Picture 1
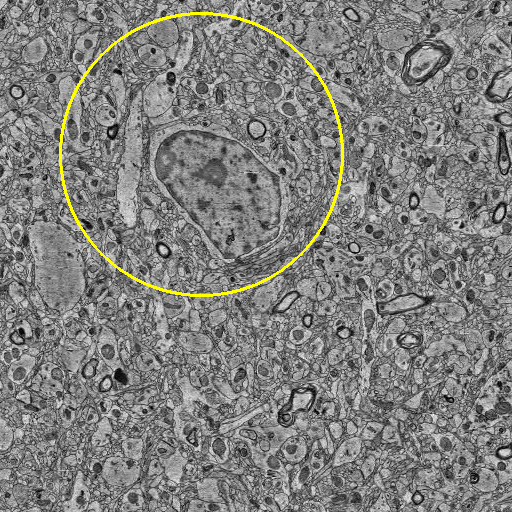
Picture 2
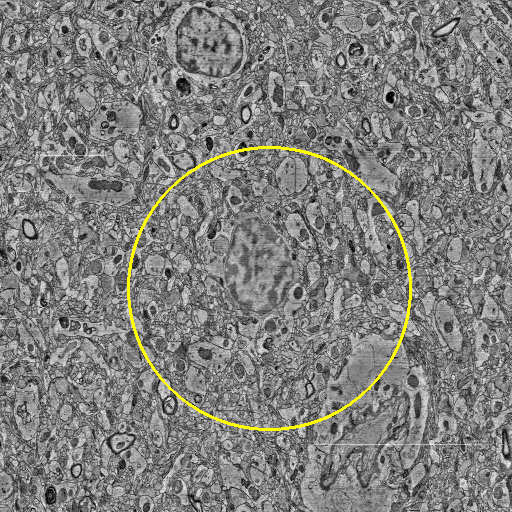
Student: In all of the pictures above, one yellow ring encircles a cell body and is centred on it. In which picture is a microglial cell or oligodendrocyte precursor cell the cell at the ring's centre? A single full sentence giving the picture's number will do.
Picture number 1 has the wanted cell right at the centre of its ring.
